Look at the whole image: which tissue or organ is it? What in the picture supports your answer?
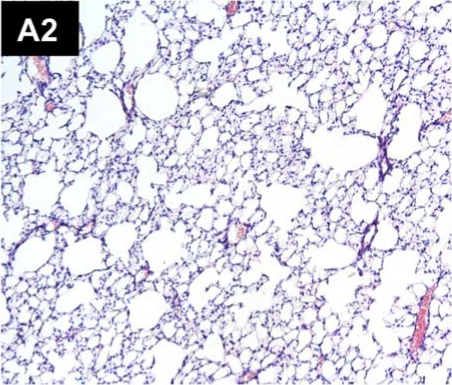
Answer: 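Lung parenchyma. Thin-walled air spaces of varying size fill the whole field. Alveolar septa are delicate, one to a few cells thick. Small blood vessels with red cells lie scattered between the air spaces. No solid mass is present.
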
